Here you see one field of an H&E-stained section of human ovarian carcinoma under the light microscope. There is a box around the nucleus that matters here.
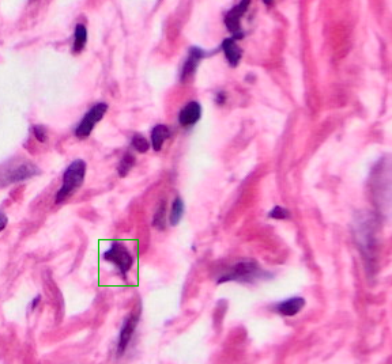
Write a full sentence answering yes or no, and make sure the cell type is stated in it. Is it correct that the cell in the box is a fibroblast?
Yes, where cell type is concerned, the cell in the box is a fibroblast.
